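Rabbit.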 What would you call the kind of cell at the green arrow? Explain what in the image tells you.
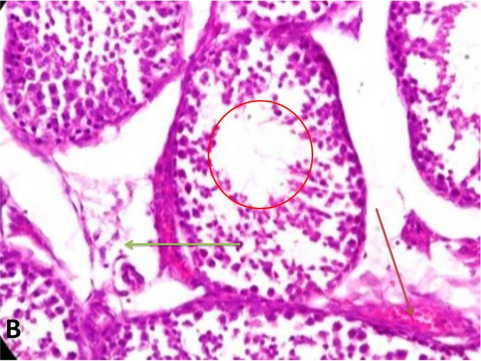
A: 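Leydig cells. The arrow points into the loose space between seminiferous tubules. Only a few scattered cells lie in that space.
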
